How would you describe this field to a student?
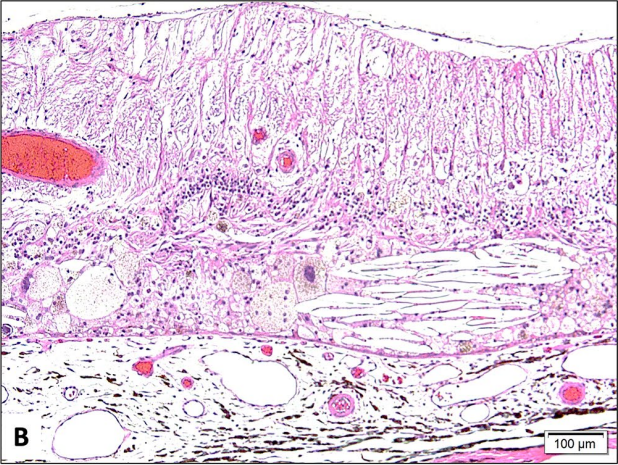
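This section of sensory retina shows an upper layer of pale pink fibres running perpendicular to the surface. Beneath it lies a band of small cells with dark nuclei. The lower part contains large pale foamy histiocytes and parallel, elongated empty clefts. A large vessel packed with red blood cells lies at the left edge. Under the retina is a loose tissue with open vascular spaces and scattered brown pigmented cells.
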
